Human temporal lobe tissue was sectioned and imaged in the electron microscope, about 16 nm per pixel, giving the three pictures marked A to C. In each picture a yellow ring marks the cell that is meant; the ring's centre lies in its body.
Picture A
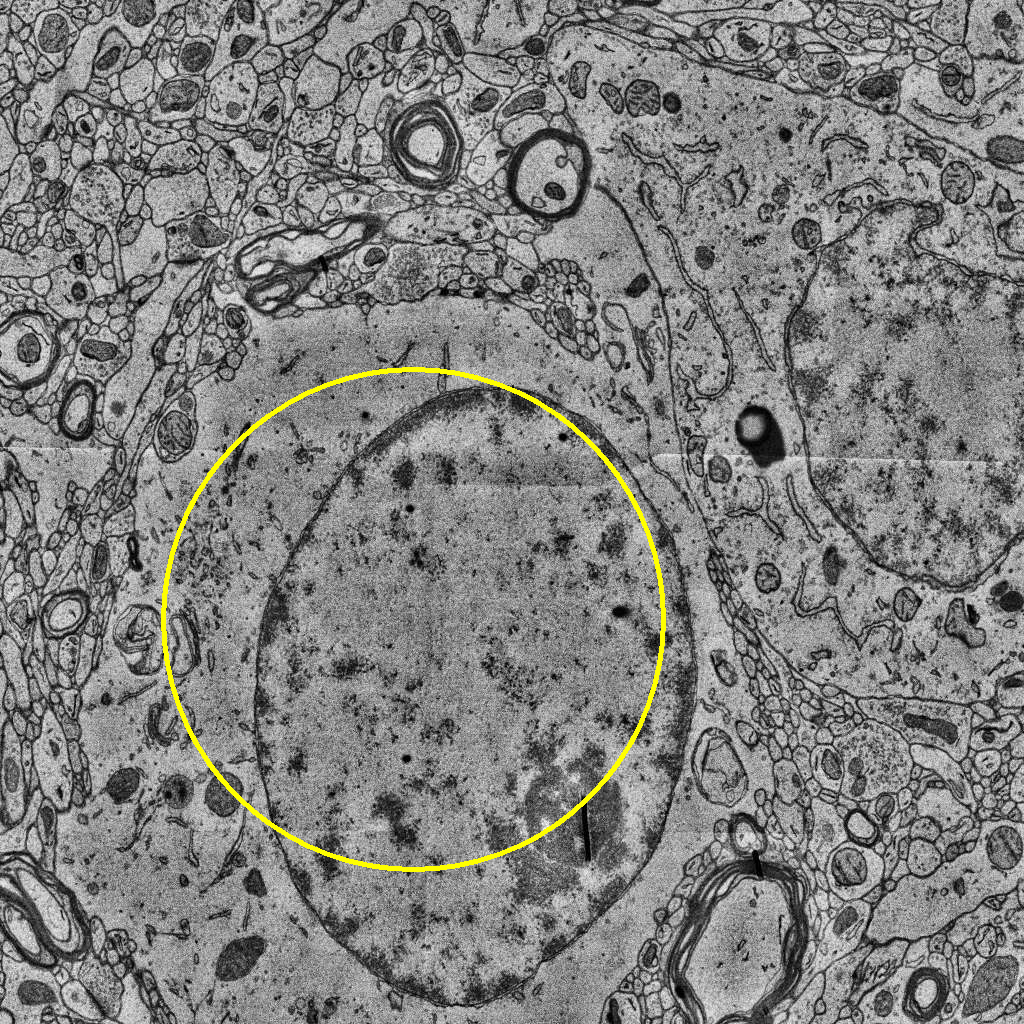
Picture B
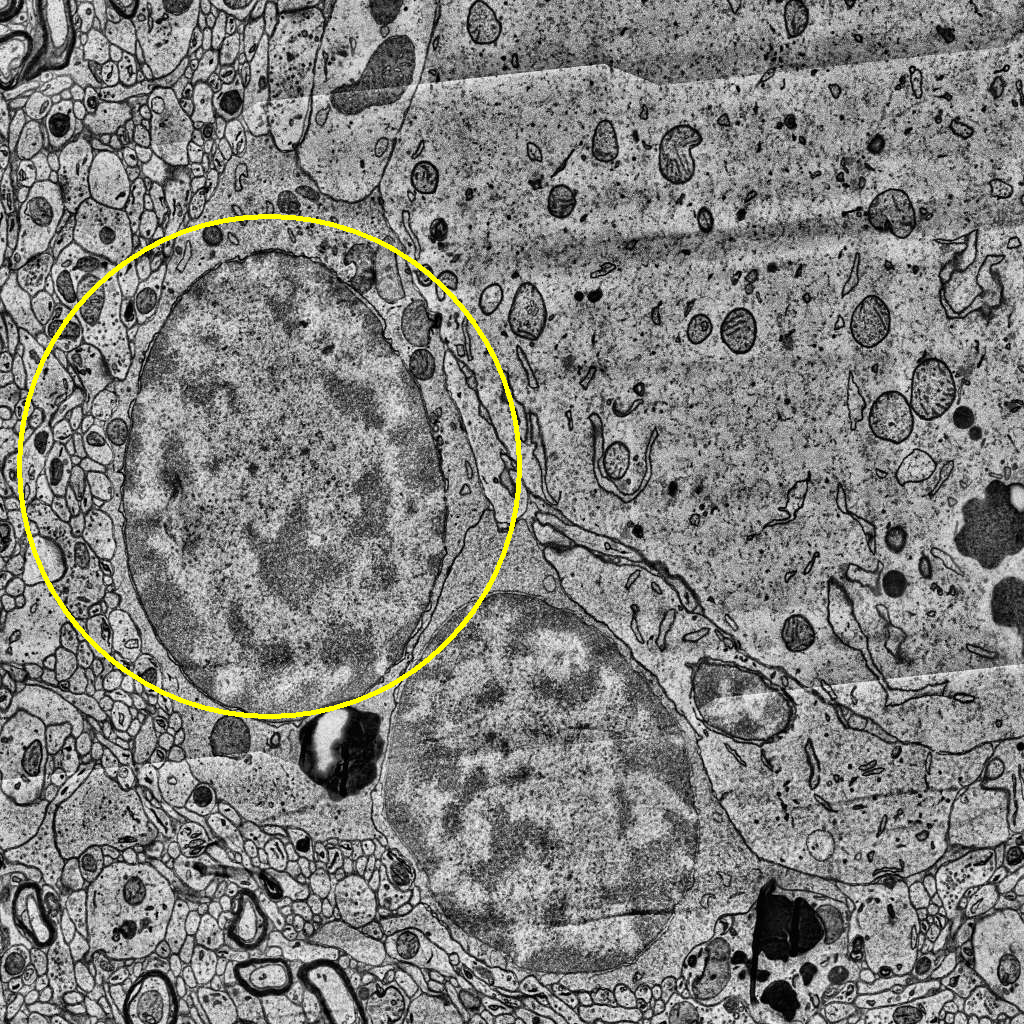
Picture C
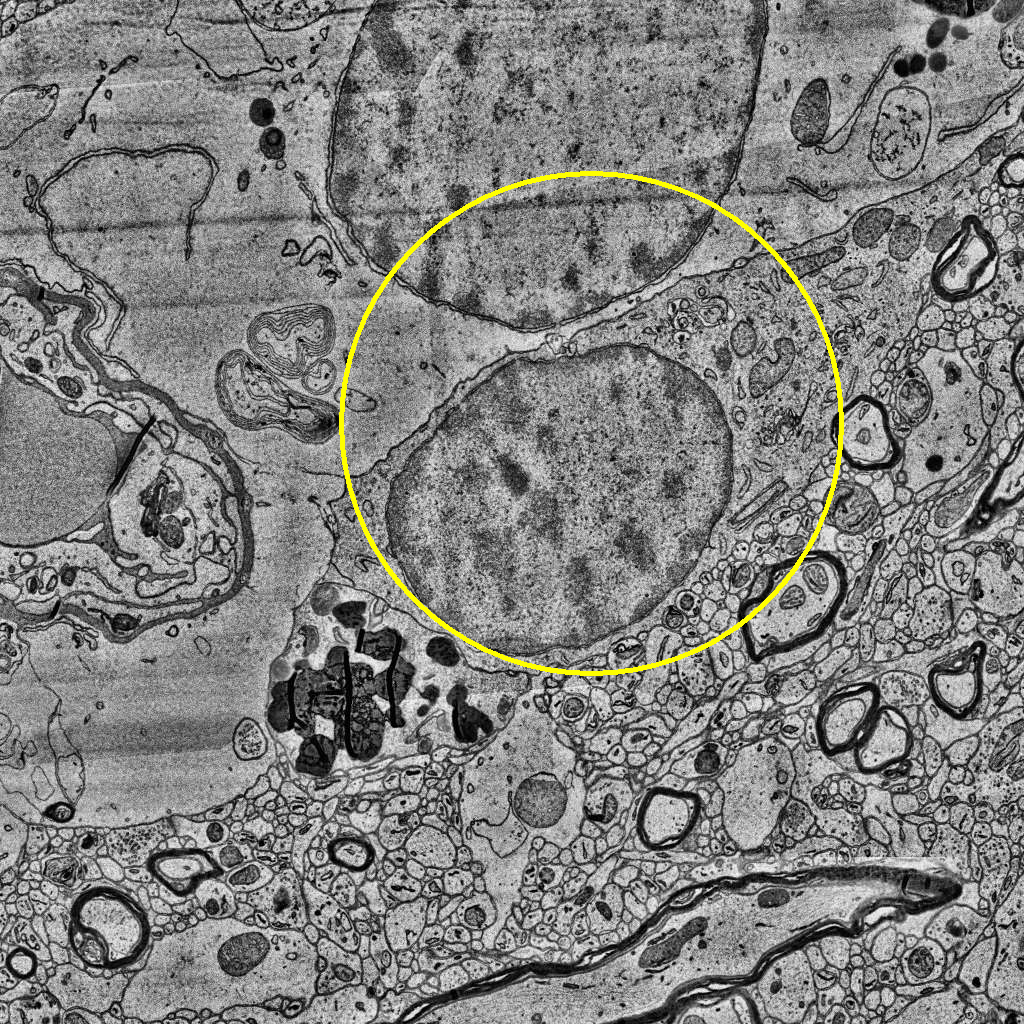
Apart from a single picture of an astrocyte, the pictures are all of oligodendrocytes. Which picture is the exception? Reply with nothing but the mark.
A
